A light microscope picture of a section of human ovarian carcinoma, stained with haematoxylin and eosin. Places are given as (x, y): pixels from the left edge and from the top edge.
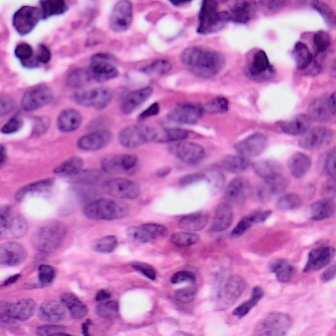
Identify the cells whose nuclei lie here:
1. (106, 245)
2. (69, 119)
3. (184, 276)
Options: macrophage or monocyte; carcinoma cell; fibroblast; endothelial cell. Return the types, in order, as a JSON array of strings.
["macrophage or monocyte", "macrophage or monocyte", "endothelial cell"]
